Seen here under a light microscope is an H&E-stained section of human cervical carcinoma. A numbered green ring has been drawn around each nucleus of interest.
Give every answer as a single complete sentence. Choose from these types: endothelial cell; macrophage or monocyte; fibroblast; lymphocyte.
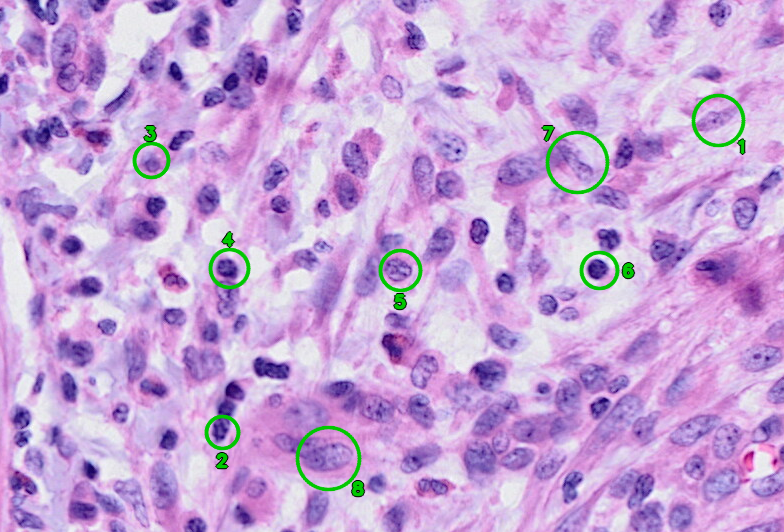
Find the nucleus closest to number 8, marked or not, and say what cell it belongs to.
The cell nearest to number 8 is an endothelial cell.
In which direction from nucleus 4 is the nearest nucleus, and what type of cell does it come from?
It is a macrophage or monocyte, whose nucleus lies below nucleus 4.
